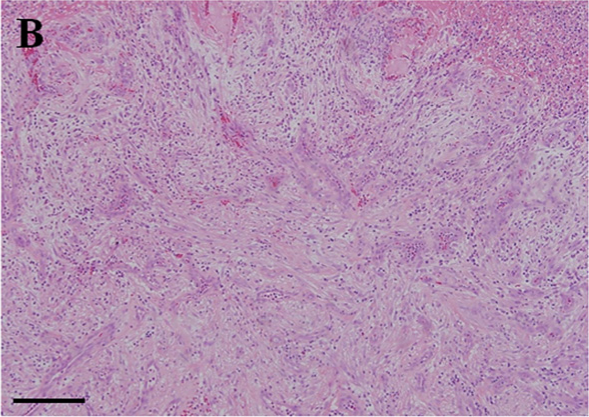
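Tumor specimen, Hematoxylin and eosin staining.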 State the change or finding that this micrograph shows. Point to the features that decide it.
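Edematous granulation tissues. Loose, pale stroma with spindle cells between. Many small vessel profiles scattered through it. Dense clusters of small dark nuclei of inflammatory cells, especially at the upper right.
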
